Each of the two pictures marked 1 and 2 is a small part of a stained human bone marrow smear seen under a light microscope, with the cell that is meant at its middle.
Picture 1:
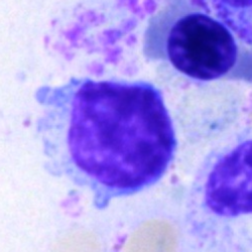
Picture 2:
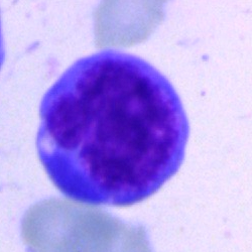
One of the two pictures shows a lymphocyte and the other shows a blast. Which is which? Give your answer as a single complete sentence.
In picture 1 the cell is a lymphocyte; in picture 2, a blast.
